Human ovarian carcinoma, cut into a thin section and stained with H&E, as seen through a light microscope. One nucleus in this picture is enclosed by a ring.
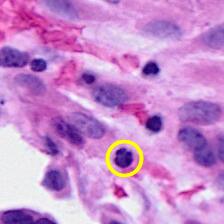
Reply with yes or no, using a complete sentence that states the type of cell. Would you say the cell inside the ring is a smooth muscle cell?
No, the cell inside the ring is simply a lymphocyte rather than a smooth muscle cell.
